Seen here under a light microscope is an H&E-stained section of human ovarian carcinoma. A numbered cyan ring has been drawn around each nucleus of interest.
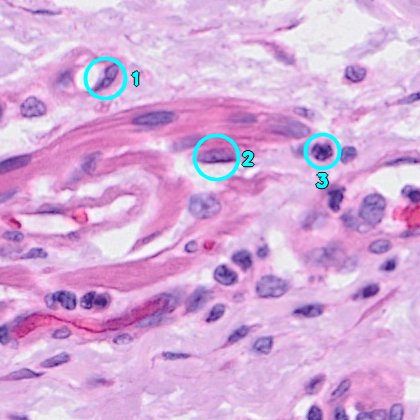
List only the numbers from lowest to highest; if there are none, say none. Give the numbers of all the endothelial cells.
1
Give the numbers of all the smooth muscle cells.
2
